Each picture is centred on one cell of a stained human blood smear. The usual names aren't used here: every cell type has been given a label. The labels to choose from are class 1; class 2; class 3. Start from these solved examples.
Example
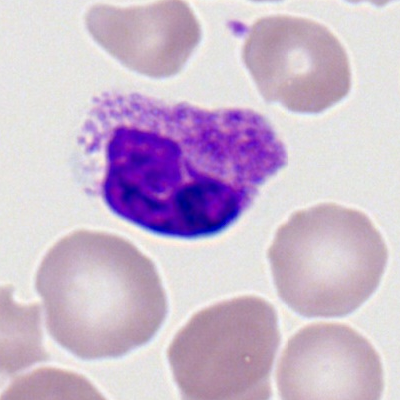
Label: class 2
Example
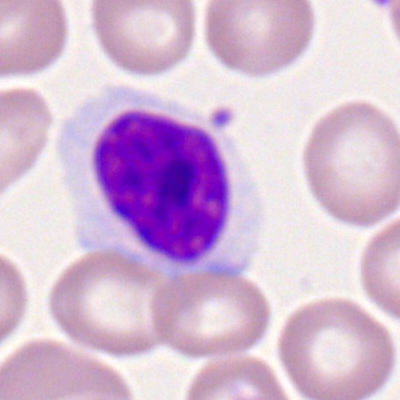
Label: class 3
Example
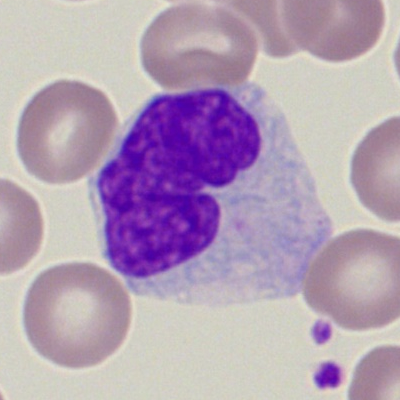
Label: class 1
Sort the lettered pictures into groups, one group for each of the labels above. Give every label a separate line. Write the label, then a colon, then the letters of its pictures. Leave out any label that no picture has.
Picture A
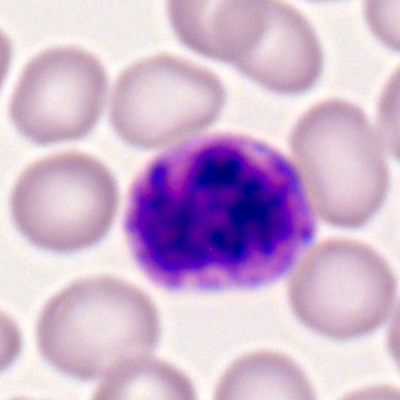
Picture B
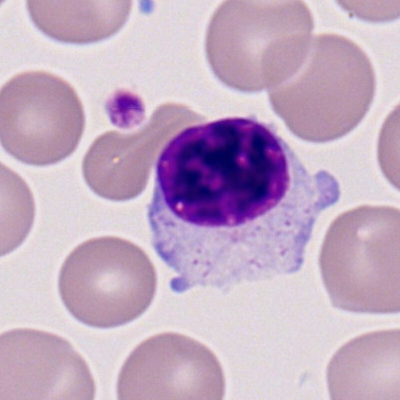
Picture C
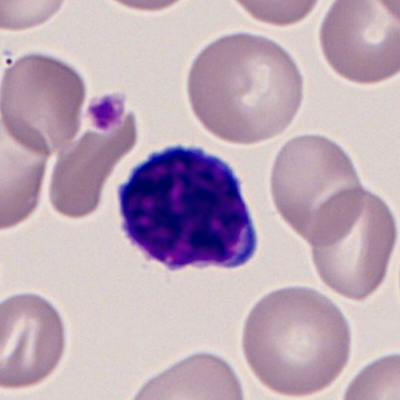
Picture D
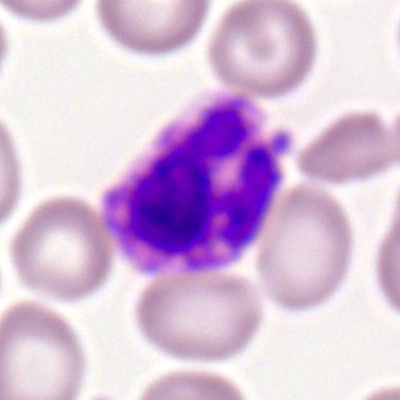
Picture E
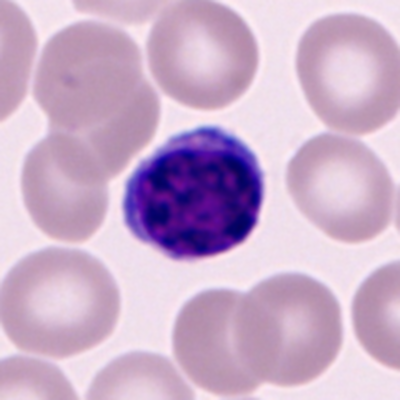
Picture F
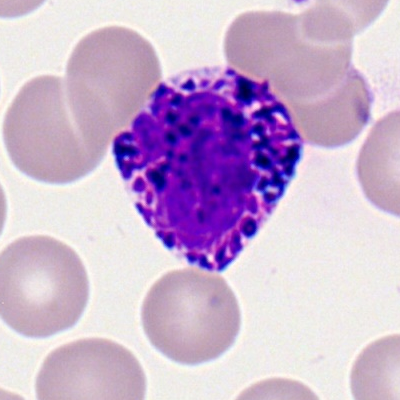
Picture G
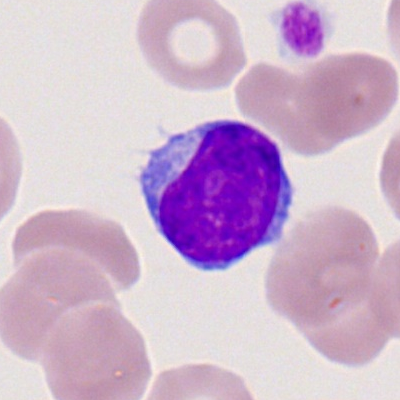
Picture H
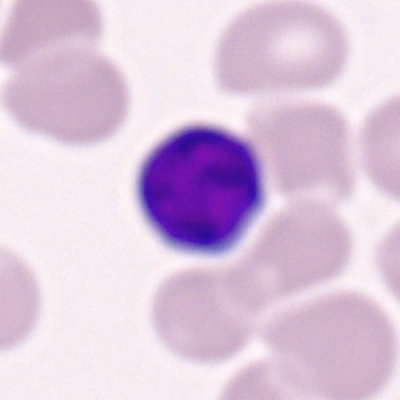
class 2: A, D, F
class 3: B, C, E, G, H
